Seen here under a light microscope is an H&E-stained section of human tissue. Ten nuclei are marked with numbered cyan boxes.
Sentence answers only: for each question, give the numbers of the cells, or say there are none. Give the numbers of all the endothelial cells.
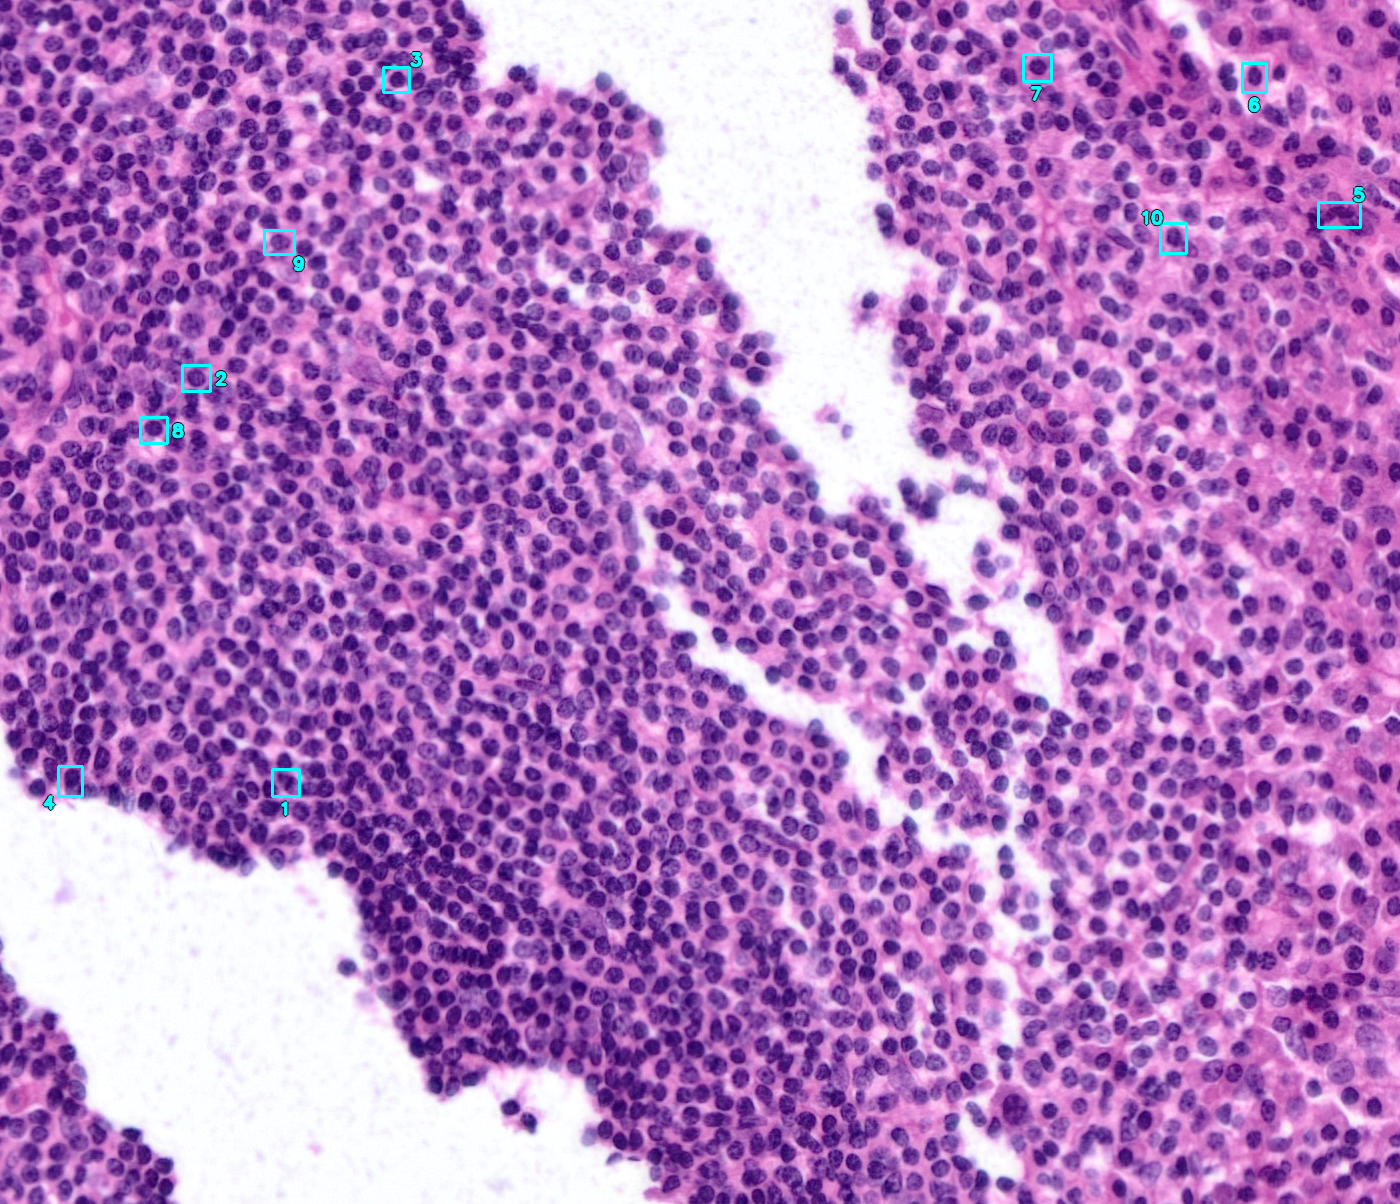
The nucleus labelled 5 alone belongs to an endothelial cell; the other marked nuclei do not.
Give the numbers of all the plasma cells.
Cells that were given the numbers 6, 7 and 10 are plasma cells.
